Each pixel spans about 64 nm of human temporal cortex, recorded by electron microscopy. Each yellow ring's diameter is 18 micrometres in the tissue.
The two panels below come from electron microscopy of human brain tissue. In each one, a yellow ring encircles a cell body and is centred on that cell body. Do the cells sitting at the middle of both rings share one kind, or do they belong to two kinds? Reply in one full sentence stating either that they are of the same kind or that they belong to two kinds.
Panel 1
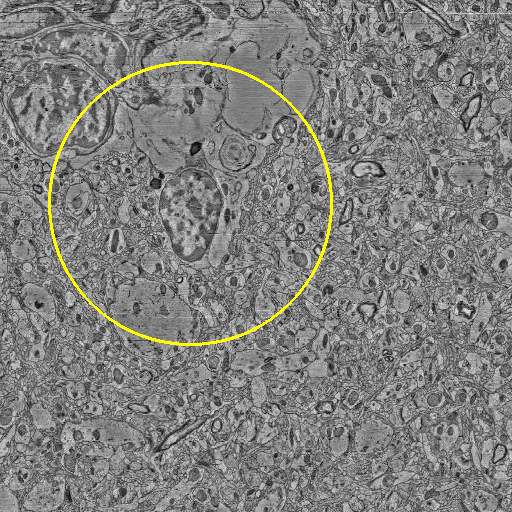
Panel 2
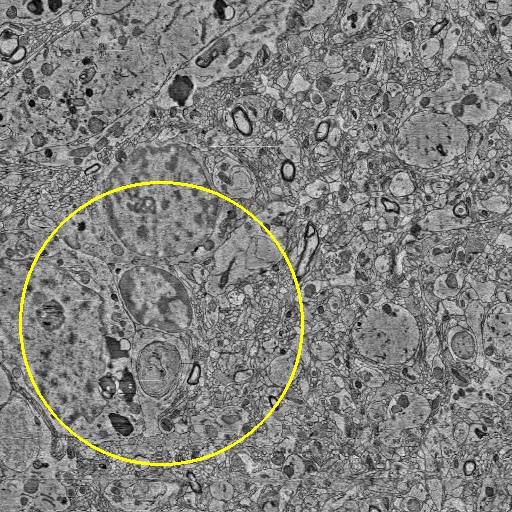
The cells at the centres of the two rings are of the same kind.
